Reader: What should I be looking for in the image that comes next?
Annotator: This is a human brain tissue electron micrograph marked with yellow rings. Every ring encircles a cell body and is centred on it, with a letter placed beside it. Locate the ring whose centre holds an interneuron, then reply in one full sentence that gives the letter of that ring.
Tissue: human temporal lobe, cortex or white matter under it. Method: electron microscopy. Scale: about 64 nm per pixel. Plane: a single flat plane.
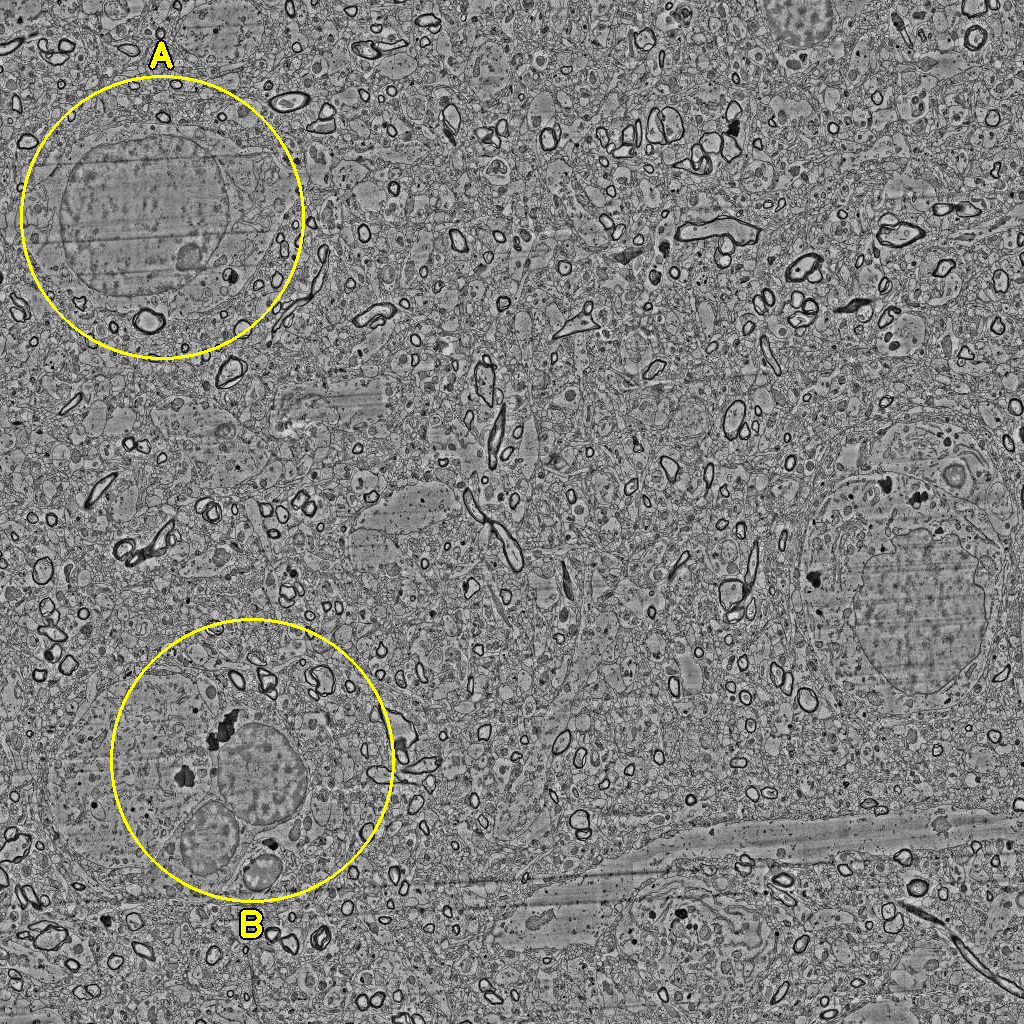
The ring centred on the cell asked for is the one labelled A.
